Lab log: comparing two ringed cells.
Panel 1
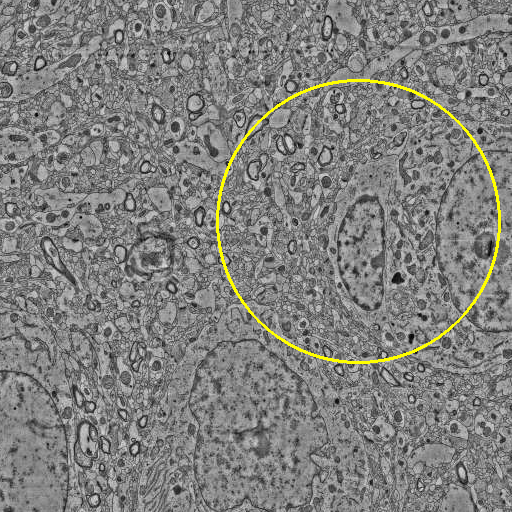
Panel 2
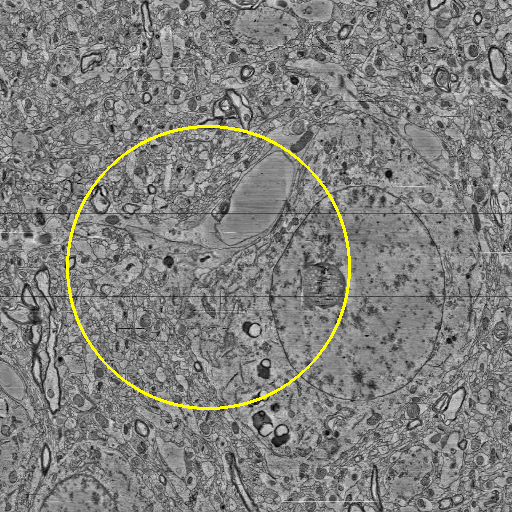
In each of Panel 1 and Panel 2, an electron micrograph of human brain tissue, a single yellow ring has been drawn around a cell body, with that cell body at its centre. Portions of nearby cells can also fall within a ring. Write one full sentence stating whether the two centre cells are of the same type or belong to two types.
The cells at the ring centres in Panel 1 and Panel 2 are of the same type.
